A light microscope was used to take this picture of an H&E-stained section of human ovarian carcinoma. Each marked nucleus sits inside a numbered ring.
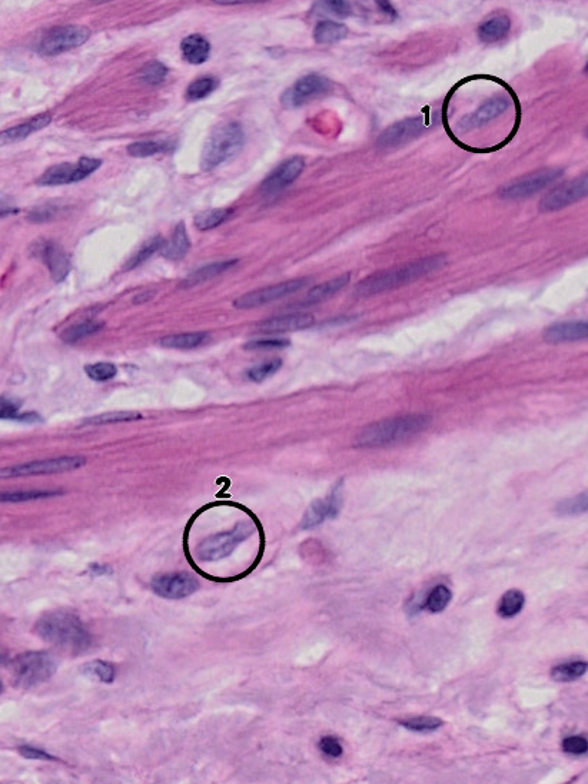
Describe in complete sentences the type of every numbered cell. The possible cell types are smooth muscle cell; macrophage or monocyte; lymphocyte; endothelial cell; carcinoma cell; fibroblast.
Cell 1 is a smooth muscle cell. Cell 2 is an endothelial cell.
